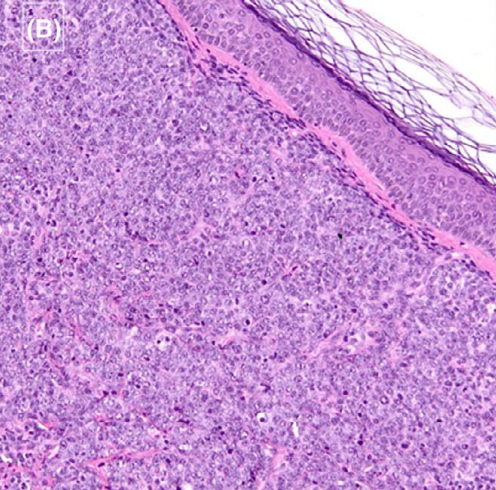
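This is skin with a dense sheet of neoplastic cells filling the dermis just beneath the epidermis. The tumour cells are round to polygonal with moderate pink to amphophilic cytoplasm and round nuclei that vary in size, shape and darkness, showing pleomorphism. The cells are packed closely with only thin strands of pink collagen and small vessels between them. A narrow band of compressed dermis separates the infiltrate from the overlying stratified squamous epidermis, which is topped by basket-weave keratin.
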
